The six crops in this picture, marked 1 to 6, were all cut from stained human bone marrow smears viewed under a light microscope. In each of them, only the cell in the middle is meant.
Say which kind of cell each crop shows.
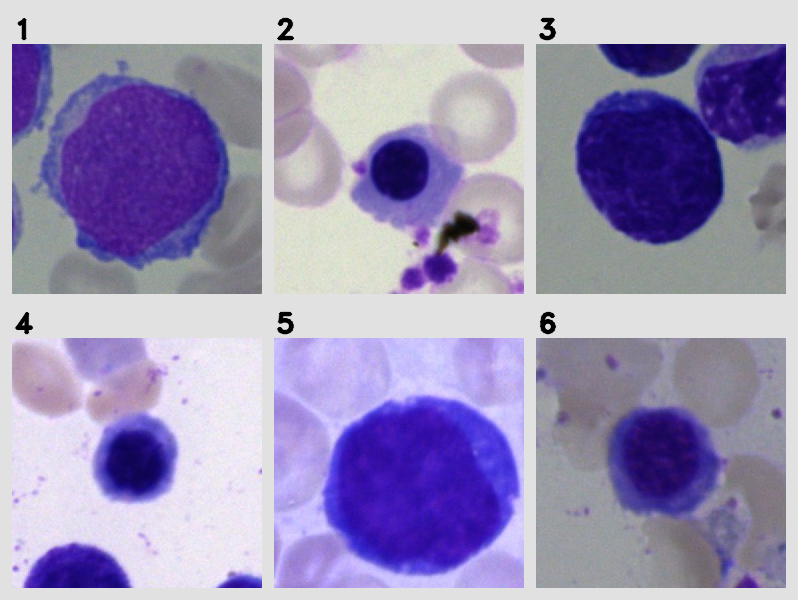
1: blast
2: erythroblast
3: blast
4: erythroblast
5: blast
6: erythroblast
